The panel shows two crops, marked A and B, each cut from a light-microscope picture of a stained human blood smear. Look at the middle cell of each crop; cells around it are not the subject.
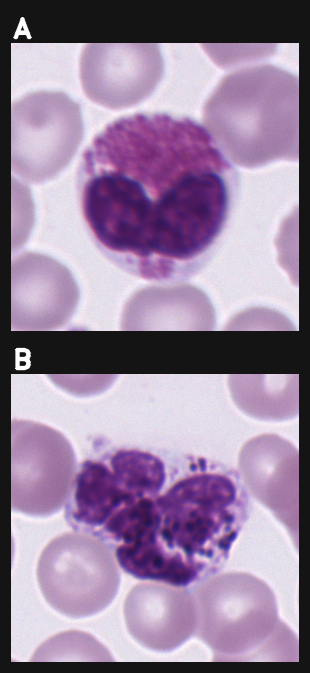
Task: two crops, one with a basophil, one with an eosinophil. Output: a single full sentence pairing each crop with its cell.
The cell of crop A is an eosinophil; that of crop B is a basophil.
